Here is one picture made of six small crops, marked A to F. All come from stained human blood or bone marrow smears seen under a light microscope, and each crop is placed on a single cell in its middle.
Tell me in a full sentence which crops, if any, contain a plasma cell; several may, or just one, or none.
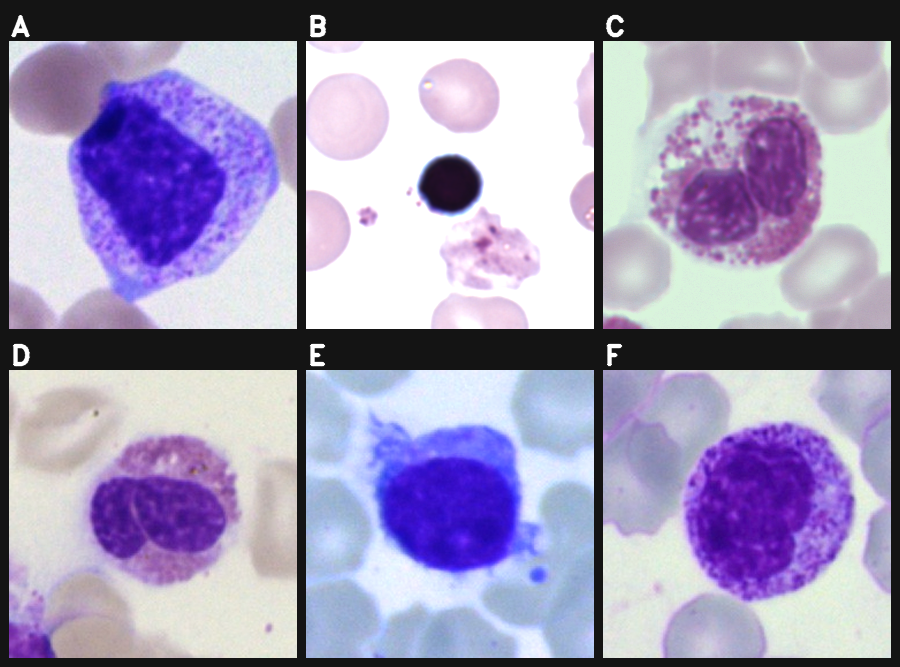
Not a single one of these crops shows a plasma cell.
